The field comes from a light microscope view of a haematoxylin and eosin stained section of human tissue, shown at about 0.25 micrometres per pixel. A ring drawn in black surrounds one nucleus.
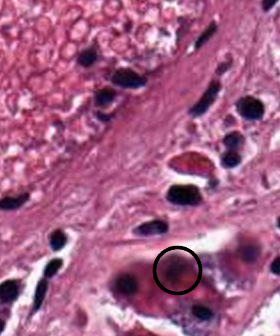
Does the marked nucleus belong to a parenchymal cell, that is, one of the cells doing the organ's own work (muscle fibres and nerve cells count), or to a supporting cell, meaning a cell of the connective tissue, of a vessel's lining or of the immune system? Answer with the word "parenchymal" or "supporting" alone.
parenchymal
